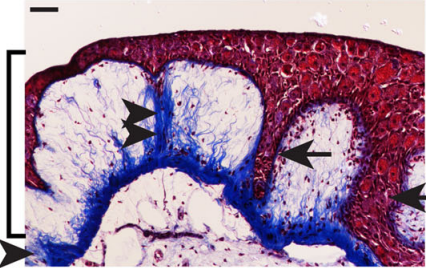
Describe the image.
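The epidermis sends deep, rounded tongues downward between pale, loosely textured pockets of connective tissue. Beneath the blue band lies loose pale connective tissue with scattered nuclei.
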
